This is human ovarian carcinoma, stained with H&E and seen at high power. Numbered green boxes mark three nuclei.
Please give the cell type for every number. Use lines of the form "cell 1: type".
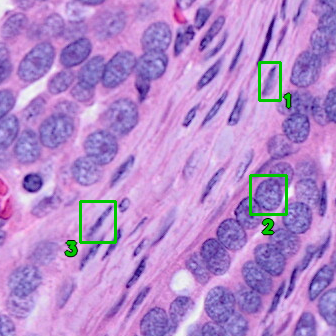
cell 1: fibroblast
cell 2: carcinoma cell
cell 3: fibroblast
